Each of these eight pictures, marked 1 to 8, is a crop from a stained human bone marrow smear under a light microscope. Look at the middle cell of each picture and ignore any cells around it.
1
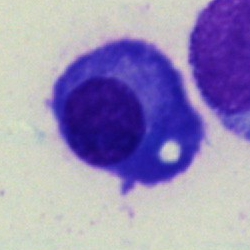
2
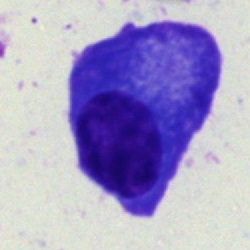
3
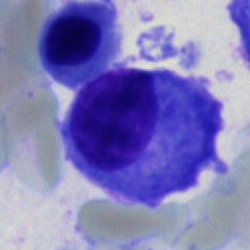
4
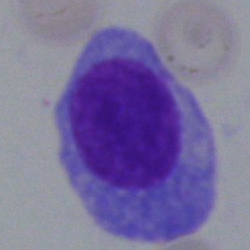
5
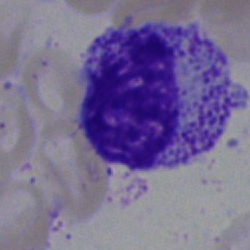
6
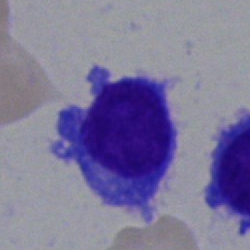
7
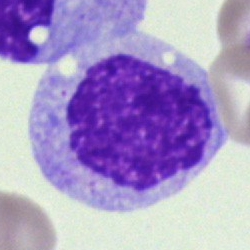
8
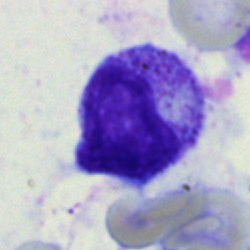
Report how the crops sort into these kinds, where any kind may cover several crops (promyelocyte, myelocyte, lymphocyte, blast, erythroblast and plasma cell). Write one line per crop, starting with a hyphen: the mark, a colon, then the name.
- 1: plasma cell
- 2: plasma cell
- 3: plasma cell
- 4: plasma cell
- 5: myelocyte
- 6: plasma cell
- 7: myelocyte
- 8: myelocyte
